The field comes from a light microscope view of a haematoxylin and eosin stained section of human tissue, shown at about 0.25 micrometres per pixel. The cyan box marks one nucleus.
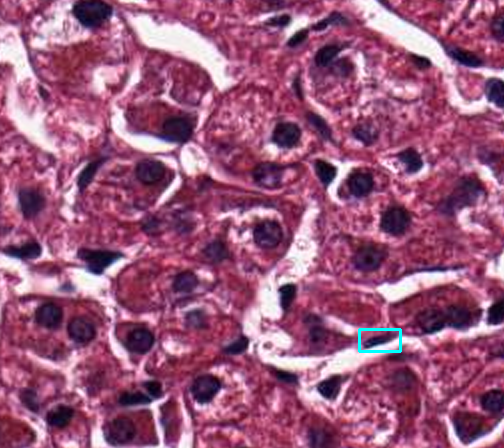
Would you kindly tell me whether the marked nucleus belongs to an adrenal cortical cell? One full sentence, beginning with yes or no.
No, rather than to an adrenal cortical cell, the marked nucleus belongs to a supporting cell.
